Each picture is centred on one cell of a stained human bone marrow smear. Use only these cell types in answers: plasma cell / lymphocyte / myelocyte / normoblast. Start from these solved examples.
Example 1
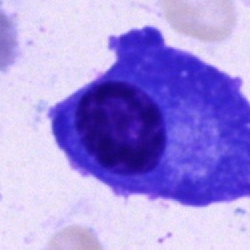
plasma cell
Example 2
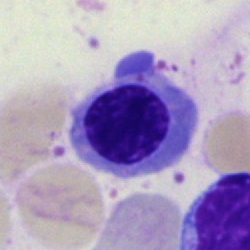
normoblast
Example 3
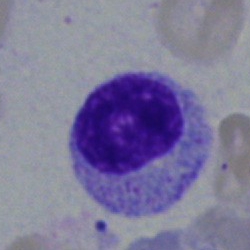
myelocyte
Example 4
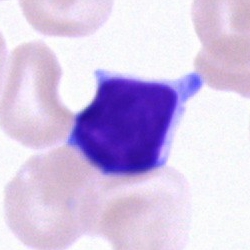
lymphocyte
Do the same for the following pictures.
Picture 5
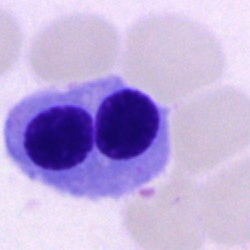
normoblast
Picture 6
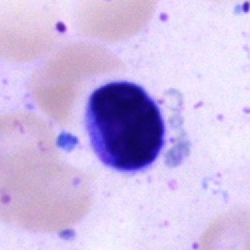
lymphocyte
